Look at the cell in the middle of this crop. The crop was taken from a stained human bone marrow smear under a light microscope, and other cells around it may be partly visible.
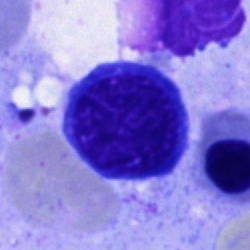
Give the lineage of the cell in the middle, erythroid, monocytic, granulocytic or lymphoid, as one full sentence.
The cell in the middle comes from the erythroid lineage of blood cells.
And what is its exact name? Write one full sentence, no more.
What the crop centres on is an erythroblast.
